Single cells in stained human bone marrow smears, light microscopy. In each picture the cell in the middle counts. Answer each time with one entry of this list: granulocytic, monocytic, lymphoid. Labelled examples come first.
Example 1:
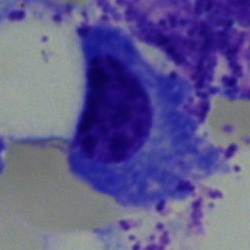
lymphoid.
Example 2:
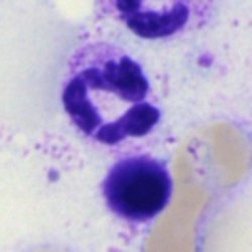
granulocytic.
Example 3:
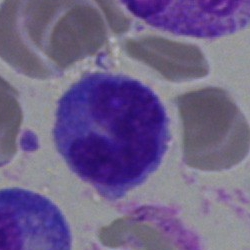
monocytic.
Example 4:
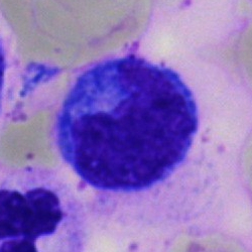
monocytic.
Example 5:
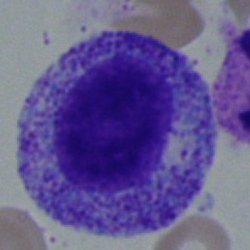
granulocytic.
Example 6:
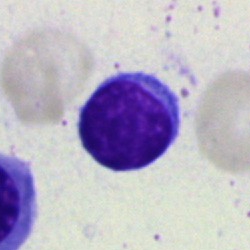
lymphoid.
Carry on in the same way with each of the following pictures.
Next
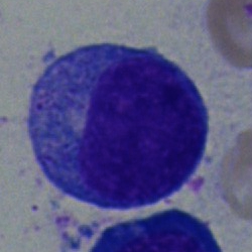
granulocytic.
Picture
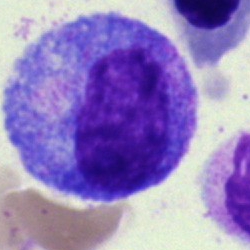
granulocytic.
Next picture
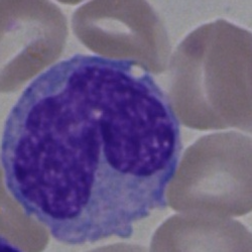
monocytic.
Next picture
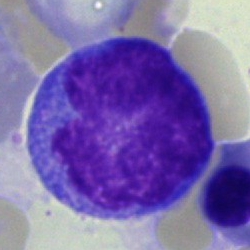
monocytic.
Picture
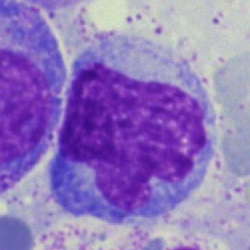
monocytic.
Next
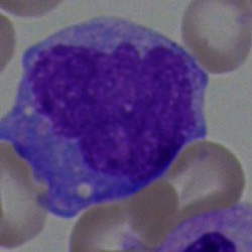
monocytic.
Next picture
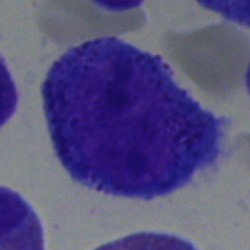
granulocytic.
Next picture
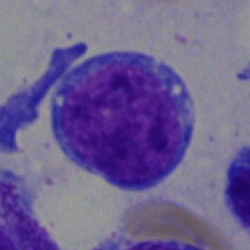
lymphoid.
